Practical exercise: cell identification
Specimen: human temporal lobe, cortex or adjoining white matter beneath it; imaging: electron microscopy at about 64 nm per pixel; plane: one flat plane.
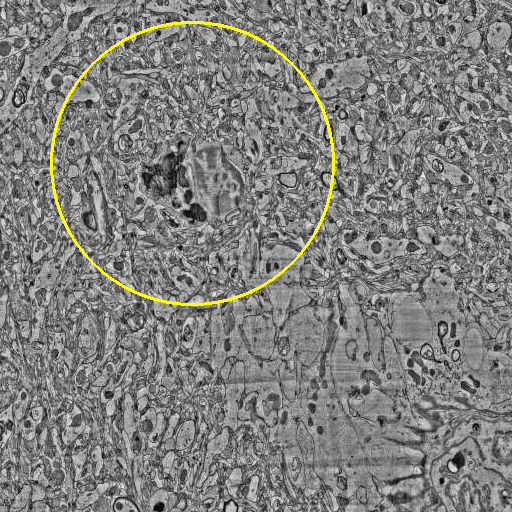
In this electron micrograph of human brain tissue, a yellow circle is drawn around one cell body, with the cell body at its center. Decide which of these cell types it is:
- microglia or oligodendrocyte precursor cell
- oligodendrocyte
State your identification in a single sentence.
The ringed cell is an oligodendrocyte.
